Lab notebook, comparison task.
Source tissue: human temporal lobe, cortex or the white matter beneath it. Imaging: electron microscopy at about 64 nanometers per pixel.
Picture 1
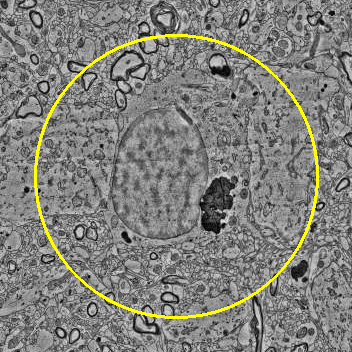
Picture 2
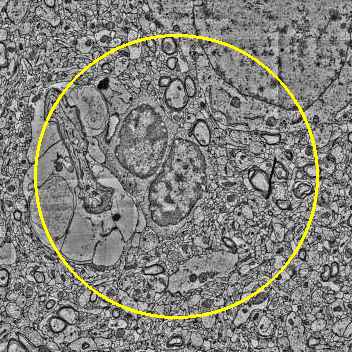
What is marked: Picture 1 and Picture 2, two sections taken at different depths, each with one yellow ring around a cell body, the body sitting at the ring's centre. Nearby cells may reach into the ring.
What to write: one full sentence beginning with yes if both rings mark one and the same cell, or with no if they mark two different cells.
No, a different cell sits inside each of the two rings.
